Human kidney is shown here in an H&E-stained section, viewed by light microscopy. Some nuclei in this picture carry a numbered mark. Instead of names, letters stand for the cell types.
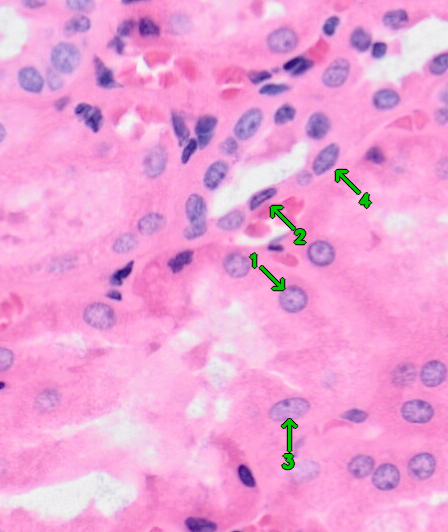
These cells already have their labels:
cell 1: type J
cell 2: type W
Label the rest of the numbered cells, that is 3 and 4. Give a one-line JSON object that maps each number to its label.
{"3": "type J", "4": "type W"}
